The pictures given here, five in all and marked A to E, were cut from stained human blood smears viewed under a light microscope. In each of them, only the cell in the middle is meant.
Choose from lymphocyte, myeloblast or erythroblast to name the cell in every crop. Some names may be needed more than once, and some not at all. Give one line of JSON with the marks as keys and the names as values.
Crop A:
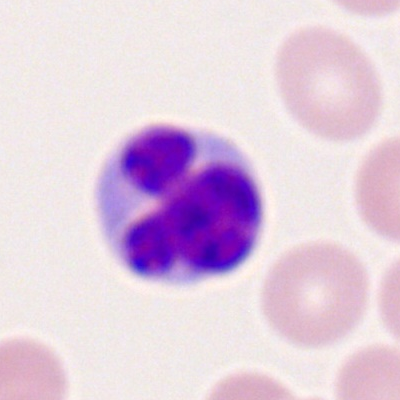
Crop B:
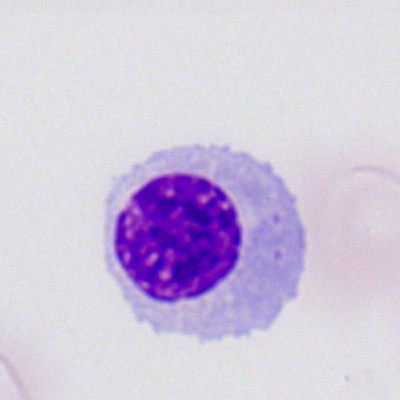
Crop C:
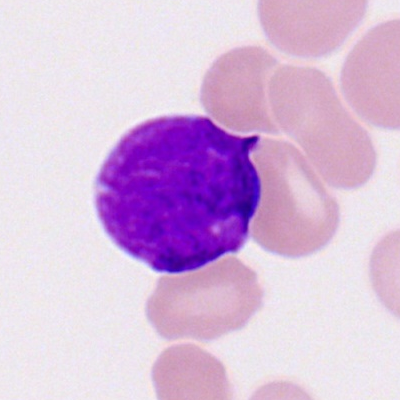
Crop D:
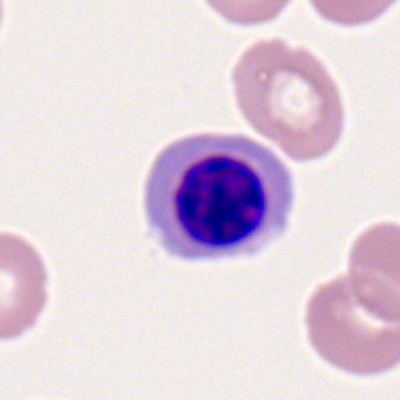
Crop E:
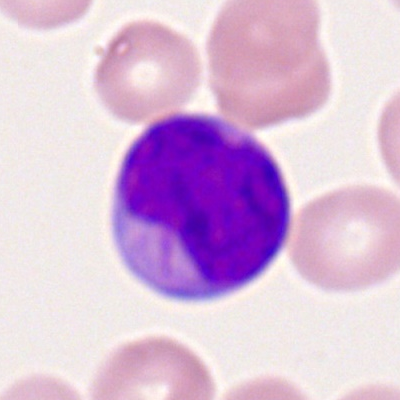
{"A": "lymphocyte", "B": "erythroblast", "C": "myeloblast", "D": "erythroblast", "E": "myeloblast"}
